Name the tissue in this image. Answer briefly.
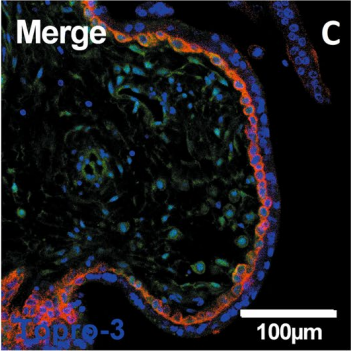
chorionic villi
